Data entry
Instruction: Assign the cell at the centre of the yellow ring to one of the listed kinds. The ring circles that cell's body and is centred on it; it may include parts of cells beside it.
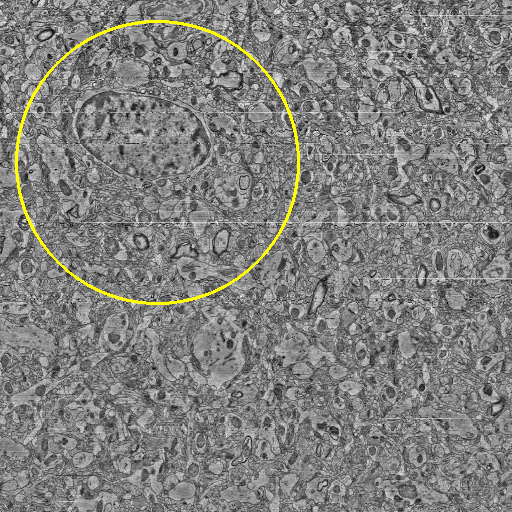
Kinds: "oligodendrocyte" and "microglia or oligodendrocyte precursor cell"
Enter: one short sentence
The centre of the ring falls on a microglial cell or oligodendrocyte precursor cell.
